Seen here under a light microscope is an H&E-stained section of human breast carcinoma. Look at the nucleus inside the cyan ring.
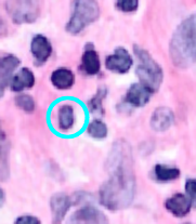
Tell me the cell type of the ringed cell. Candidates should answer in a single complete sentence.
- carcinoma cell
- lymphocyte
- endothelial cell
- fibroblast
The cell type of the ringed cell is that of a lymphocyte.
